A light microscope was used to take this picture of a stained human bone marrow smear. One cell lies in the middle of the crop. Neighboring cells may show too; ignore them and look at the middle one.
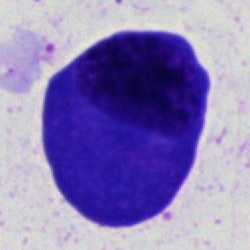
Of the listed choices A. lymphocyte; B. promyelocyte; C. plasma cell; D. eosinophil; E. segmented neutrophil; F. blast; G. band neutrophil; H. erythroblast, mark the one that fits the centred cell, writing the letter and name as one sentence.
According to option C, which is correct, the cell in the middle is a plasma cell.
